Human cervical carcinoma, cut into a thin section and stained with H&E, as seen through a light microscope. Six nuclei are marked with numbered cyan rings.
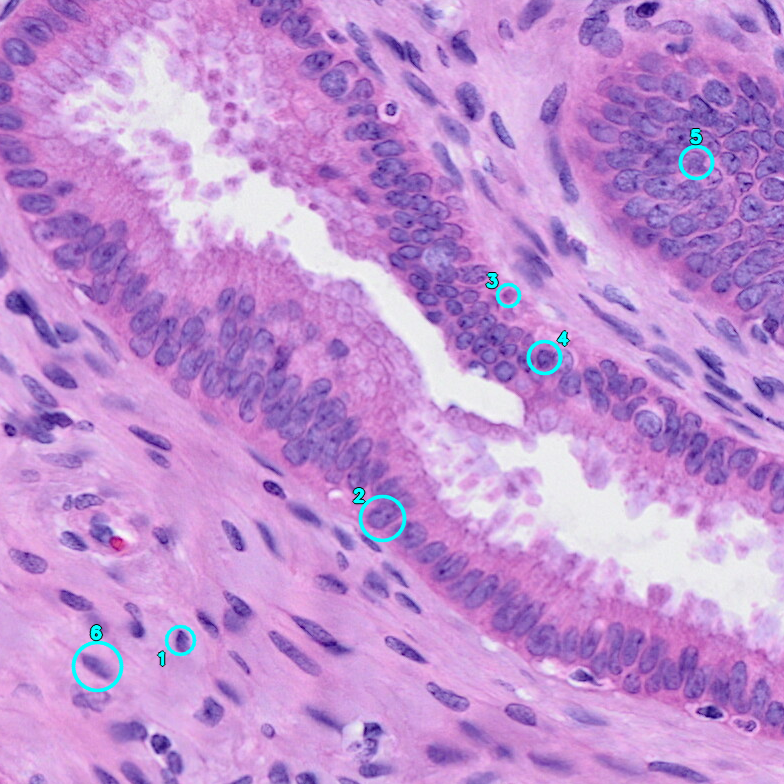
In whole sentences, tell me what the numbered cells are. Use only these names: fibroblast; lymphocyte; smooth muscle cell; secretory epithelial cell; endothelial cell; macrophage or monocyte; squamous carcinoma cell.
Cell 1 is a fibroblast, cell 2 is a secretory epithelial cell, cell 3 is a secretory epithelial cell, cell 4 is a secretory epithelial cell, cell 5 is a secretory epithelial cell and cell 6 is a fibroblast.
